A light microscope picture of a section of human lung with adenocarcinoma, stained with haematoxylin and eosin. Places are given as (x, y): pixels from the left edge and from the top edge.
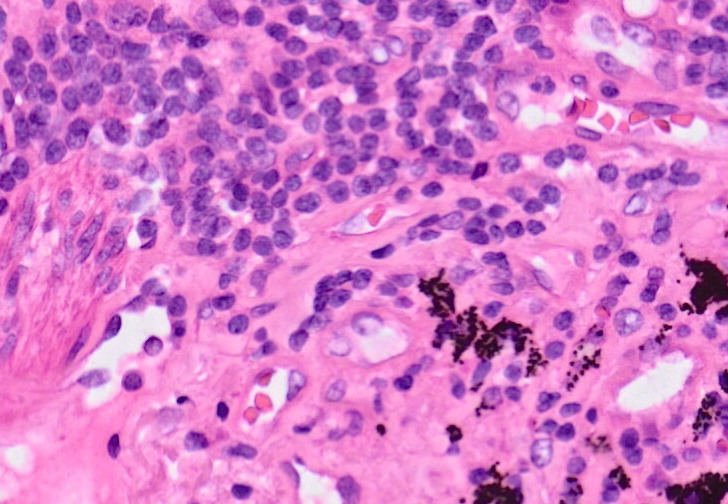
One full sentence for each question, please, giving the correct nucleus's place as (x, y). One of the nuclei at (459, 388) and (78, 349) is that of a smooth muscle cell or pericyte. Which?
Among the two nuclei, the one found at (78, 349) belongs to a smooth muscle cell or pericyte.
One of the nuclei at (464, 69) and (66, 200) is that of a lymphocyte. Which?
It is at (464, 69) that the nucleus of a lymphocyte is found.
